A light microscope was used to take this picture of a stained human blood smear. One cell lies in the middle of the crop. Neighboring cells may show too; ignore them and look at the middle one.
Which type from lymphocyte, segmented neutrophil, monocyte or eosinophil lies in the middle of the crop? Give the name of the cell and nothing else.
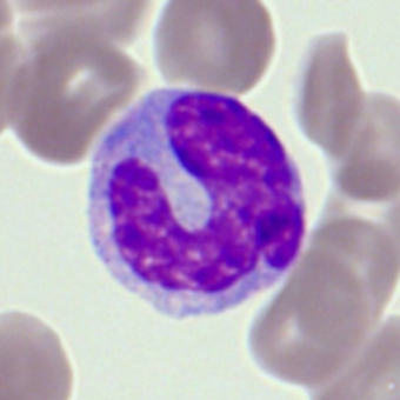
monocyte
